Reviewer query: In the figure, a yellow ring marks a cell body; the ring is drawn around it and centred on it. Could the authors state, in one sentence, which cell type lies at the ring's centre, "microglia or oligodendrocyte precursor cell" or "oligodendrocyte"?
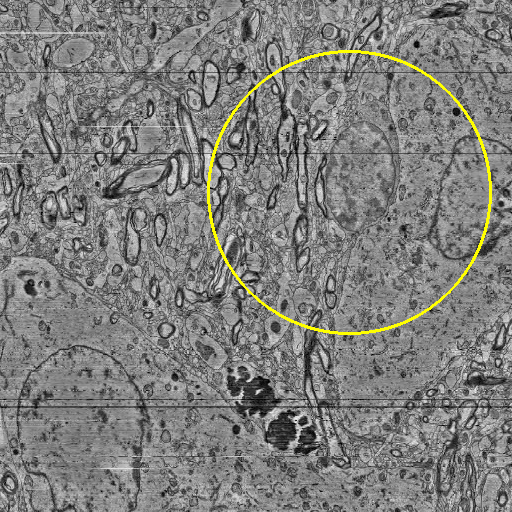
The ring is centred on an oligodendrocyte.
